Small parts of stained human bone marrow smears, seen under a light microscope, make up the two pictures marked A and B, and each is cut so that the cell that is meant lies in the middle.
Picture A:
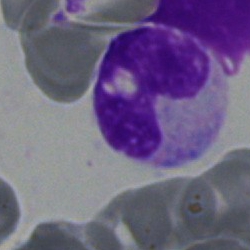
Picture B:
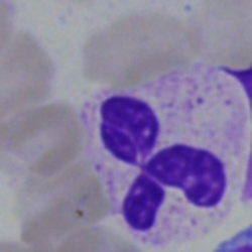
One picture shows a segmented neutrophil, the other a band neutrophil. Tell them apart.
A: band neutrophil
B: segmented neutrophil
